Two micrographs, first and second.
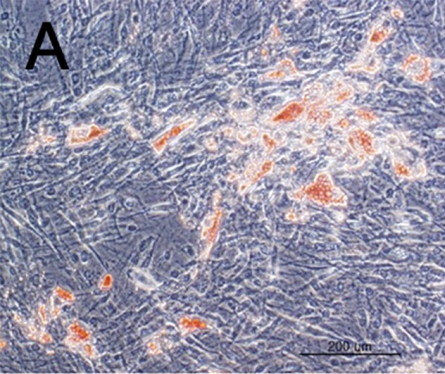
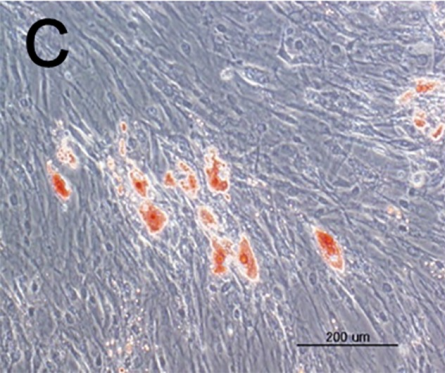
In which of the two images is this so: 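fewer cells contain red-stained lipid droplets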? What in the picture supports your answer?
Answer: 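First image: many red-stained cells are spread widely across the field.
Answer: the second image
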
